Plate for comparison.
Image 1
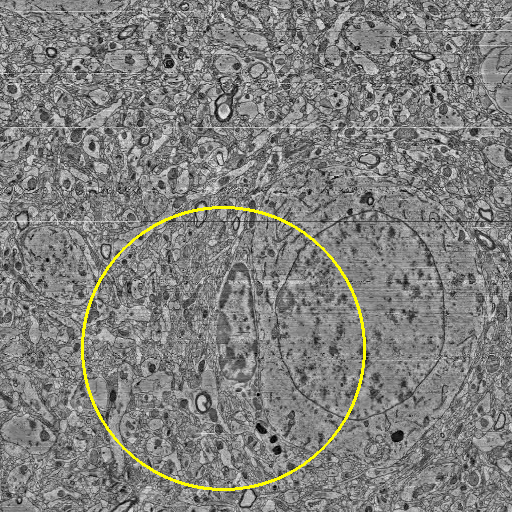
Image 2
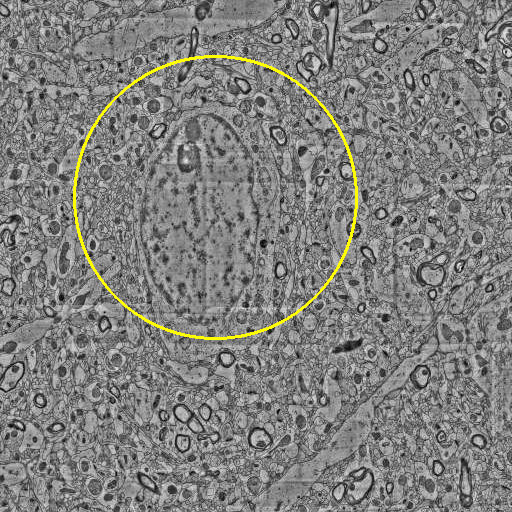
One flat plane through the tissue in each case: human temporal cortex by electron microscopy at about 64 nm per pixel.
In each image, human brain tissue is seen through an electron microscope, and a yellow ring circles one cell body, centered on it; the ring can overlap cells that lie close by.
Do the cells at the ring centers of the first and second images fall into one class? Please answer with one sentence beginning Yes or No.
No, the first and second images show two classes of cell at the ring centers.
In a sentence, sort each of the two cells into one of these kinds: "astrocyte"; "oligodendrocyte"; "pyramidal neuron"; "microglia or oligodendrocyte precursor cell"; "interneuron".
The first of the two cells is a microglial cell or oligodendrocyte precursor cell, and the second is an interneuron.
